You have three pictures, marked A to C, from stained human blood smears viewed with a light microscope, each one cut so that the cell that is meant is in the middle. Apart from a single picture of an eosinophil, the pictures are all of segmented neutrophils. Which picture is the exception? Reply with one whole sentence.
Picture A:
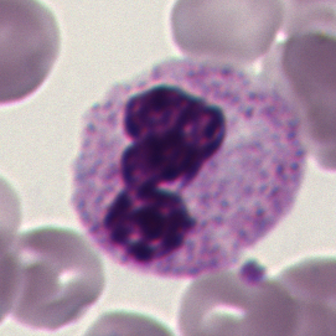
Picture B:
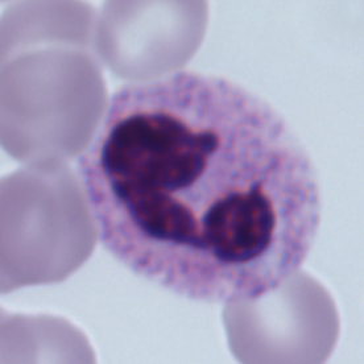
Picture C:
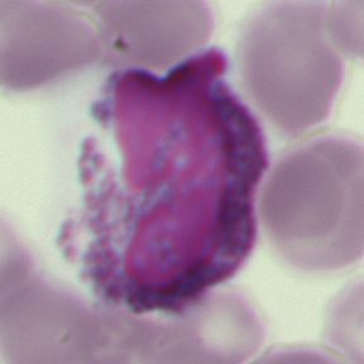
The eosinophil is the one in picture C.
